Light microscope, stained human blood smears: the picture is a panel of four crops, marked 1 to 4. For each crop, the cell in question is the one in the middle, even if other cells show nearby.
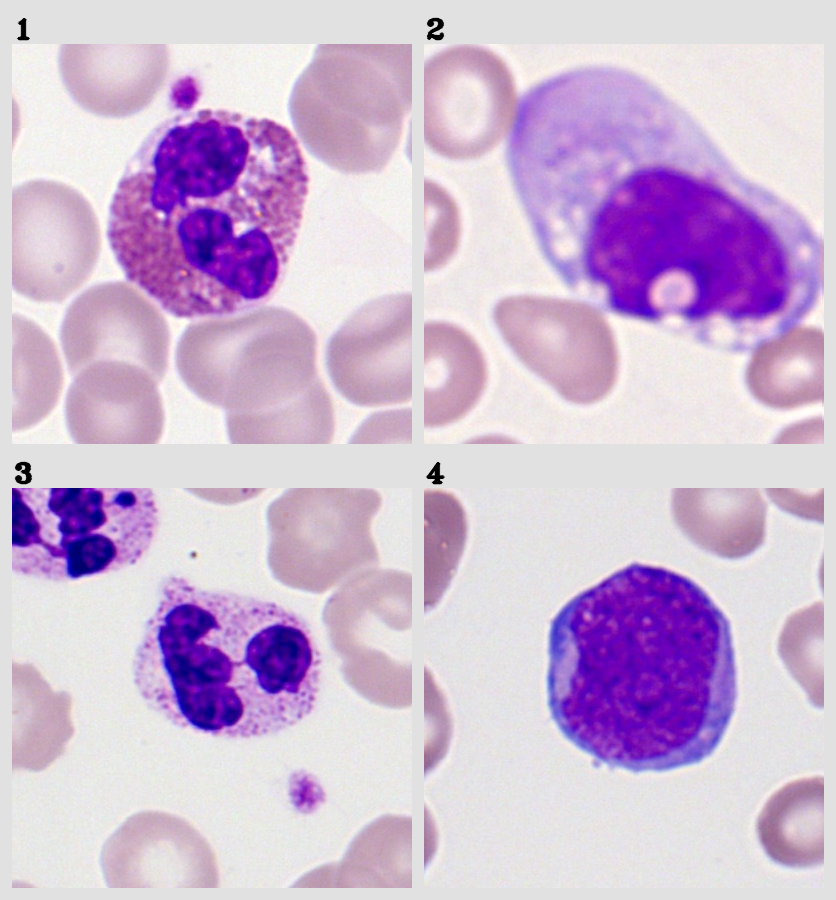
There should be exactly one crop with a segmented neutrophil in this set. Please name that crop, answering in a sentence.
The cell identified as a segmented neutrophil is the one in crop 3.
